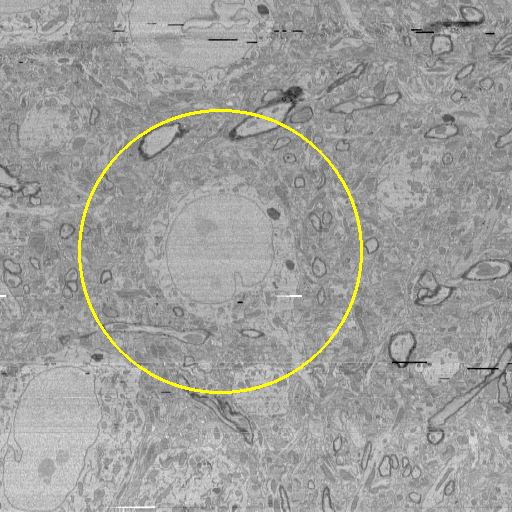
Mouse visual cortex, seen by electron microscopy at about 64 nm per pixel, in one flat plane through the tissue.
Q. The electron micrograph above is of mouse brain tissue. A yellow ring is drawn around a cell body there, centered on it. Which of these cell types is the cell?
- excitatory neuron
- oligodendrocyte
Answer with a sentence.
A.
The cell under the ring's center is an excitatory neuron.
